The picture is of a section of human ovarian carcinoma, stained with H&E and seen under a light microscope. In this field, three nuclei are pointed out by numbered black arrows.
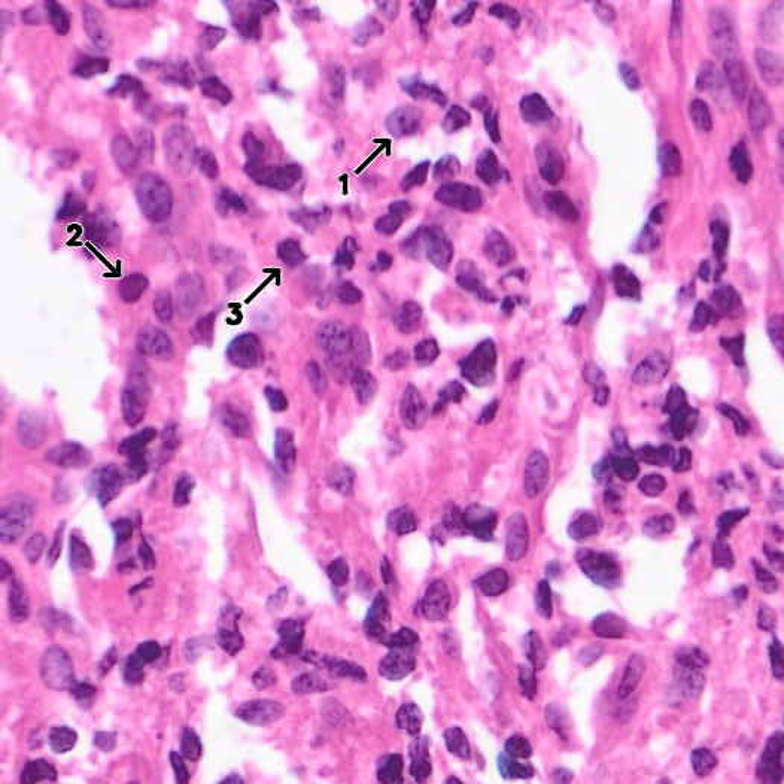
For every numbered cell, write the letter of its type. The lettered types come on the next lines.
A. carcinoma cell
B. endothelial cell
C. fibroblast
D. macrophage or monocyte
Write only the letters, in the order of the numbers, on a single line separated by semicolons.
D; A; A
